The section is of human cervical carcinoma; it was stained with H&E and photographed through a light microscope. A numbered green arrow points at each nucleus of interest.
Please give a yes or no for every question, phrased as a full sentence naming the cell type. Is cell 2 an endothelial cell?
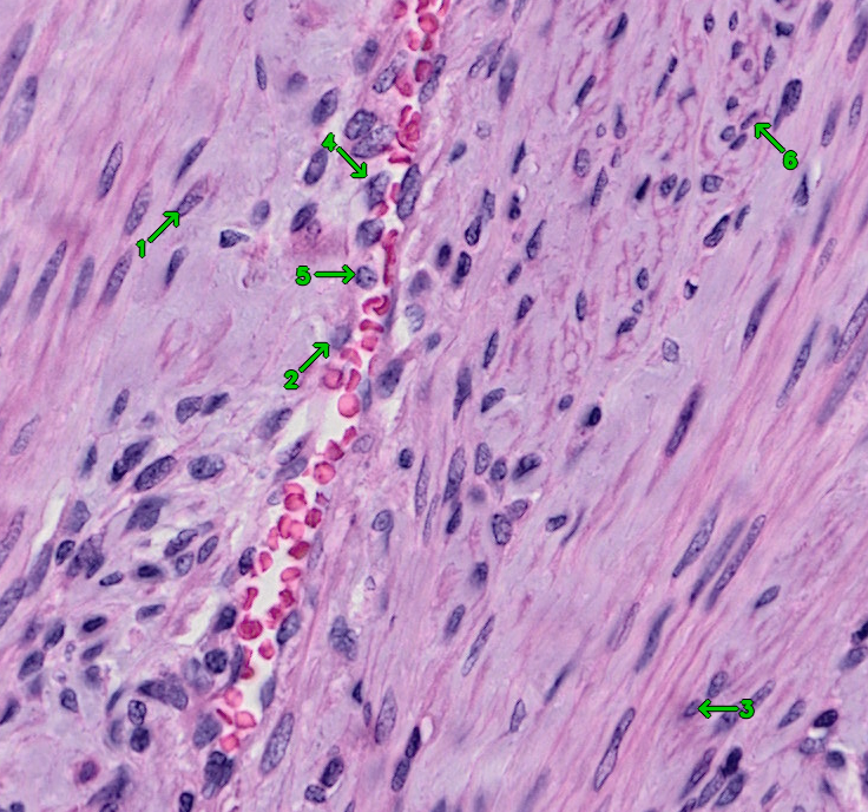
Yes, cell number 2 is classified as an endothelial cell.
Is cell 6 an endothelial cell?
No, number 6 is not an endothelial cell; it is a smooth muscle cell.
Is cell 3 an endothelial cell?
No, the cell identified by number 3 is a smooth muscle cell, not an endothelial cell.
